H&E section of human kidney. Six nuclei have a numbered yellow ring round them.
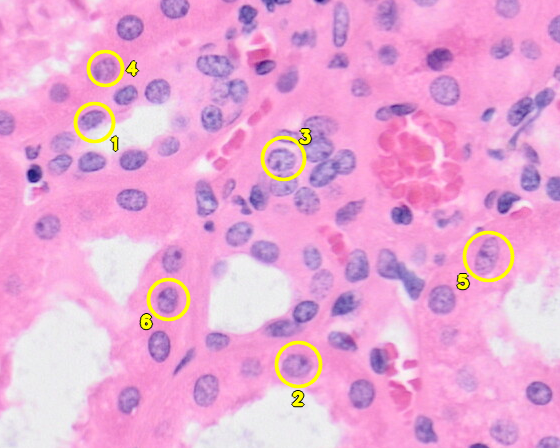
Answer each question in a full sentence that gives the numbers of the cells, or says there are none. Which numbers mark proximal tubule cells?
The cells referred to by the numbers 2, 4, 5 and 6 are proximal tubule cells.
